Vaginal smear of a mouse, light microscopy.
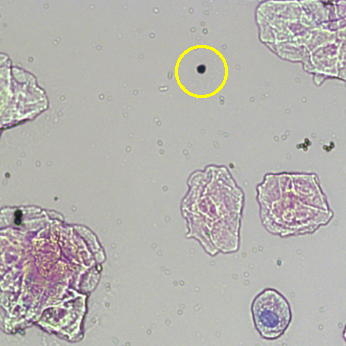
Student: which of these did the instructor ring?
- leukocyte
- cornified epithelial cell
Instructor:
The cell I ringed is a leukocyte.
